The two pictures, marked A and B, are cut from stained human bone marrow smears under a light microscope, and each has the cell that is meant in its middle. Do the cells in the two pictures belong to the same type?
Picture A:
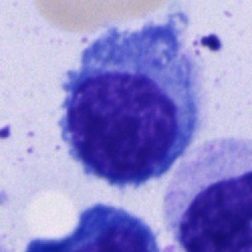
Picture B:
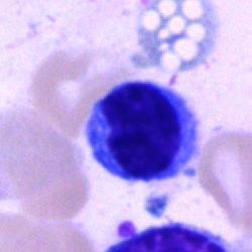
yes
